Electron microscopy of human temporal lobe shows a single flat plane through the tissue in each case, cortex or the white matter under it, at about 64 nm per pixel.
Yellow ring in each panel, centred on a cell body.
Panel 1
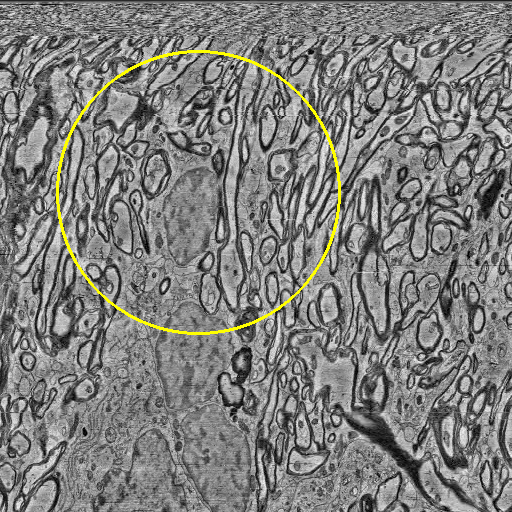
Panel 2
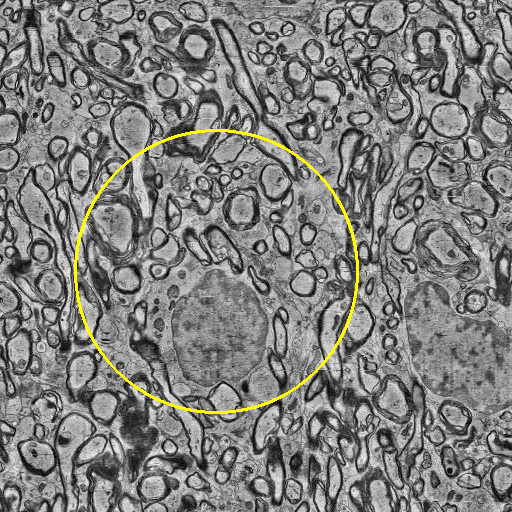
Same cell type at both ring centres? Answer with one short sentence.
Yes, both cells are of the same type.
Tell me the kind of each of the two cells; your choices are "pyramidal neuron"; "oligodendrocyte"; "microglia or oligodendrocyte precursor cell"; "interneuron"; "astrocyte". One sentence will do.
Each cell, in the first picture and the second, is an oligodendrocyte.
